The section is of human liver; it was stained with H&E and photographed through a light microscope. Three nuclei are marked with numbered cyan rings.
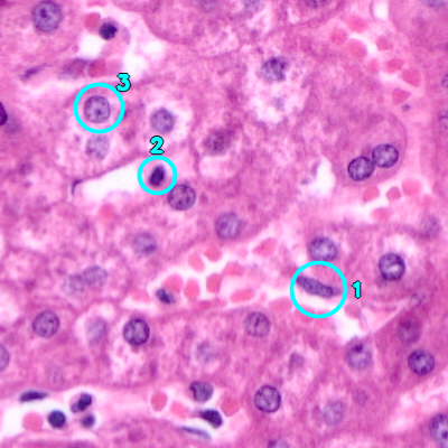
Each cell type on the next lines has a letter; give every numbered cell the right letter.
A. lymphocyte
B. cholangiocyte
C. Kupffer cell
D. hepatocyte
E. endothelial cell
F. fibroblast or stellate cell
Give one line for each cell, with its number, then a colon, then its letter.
1: C
2: A
3: D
